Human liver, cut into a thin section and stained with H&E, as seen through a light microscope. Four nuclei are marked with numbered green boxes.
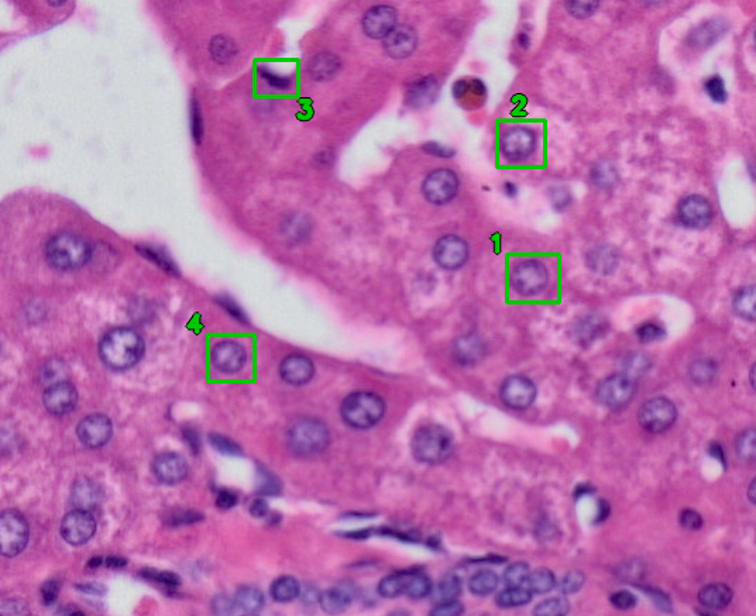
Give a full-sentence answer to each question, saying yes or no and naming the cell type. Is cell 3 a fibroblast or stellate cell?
Yes, the cell tagged with the number 3 is a fibroblast or stellate cell.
